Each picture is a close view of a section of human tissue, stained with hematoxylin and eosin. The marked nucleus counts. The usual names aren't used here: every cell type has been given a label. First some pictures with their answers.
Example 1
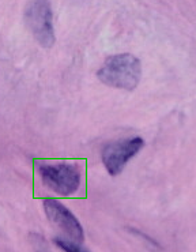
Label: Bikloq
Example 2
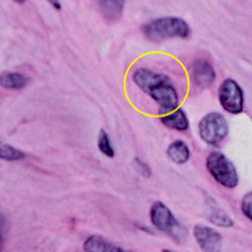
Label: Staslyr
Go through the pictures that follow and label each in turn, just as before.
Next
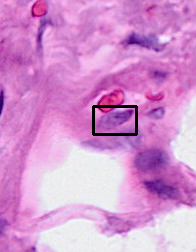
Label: Staslyr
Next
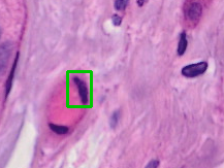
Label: Staslyr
